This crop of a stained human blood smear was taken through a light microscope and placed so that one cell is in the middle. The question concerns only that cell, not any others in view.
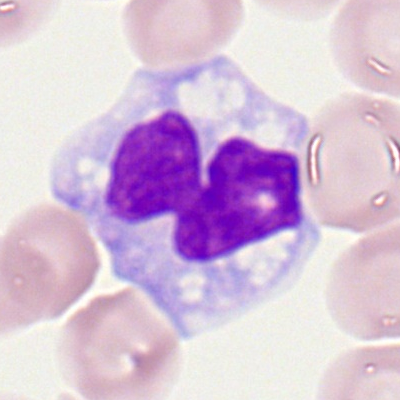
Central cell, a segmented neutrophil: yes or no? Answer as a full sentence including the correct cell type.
No, what the centre of the crop shows is a monocyte, not a segmented neutrophil.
